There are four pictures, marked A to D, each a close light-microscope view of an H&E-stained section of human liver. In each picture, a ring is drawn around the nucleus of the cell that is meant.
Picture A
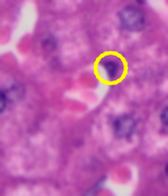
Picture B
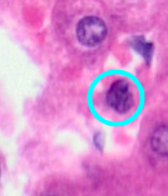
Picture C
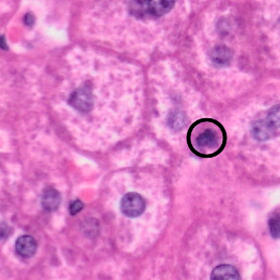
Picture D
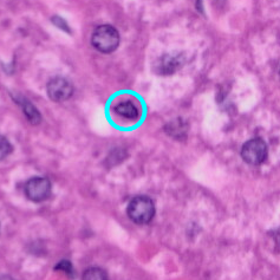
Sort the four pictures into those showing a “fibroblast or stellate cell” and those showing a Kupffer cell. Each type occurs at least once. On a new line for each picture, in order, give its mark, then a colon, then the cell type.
A: fibroblast or stellate cell
B: Kupffer cell
C: fibroblast or stellate cell
D: Kupffer cell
